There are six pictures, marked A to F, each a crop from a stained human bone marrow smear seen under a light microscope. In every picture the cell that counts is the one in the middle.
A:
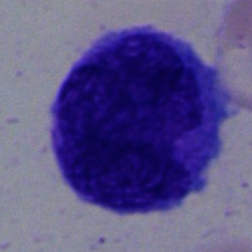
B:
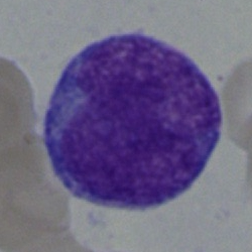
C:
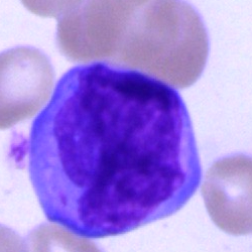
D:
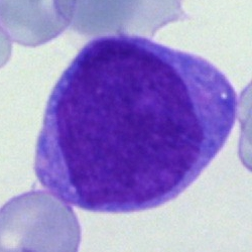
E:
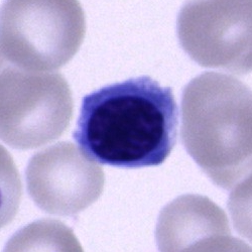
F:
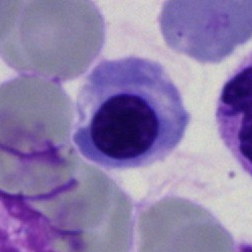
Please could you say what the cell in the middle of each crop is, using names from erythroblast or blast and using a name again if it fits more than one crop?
A: blast
B: blast
C: blast
D: blast
E: erythroblast
F: erythroblast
